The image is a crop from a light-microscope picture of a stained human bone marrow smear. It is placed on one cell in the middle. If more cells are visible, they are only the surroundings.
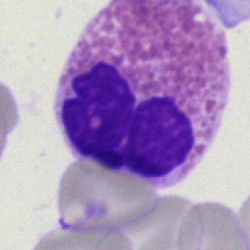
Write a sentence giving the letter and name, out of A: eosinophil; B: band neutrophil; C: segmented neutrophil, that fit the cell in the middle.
The correct choice is option A, which identifies the middle cell as an eosinophil.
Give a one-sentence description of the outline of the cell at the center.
Edge check done: smooth outline, no projections present.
